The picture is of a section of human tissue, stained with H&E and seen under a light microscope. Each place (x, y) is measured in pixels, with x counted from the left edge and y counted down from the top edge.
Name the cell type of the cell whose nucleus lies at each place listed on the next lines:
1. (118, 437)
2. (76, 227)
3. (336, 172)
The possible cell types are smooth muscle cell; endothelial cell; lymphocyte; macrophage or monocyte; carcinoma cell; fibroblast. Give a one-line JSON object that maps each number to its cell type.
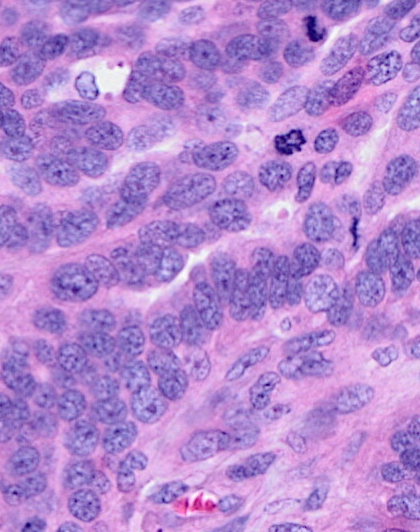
{"1": "carcinoma cell", "2": "carcinoma cell", "3": "macrophage or monocyte"}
